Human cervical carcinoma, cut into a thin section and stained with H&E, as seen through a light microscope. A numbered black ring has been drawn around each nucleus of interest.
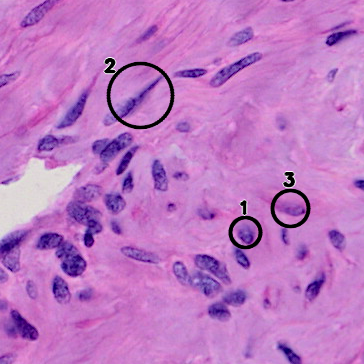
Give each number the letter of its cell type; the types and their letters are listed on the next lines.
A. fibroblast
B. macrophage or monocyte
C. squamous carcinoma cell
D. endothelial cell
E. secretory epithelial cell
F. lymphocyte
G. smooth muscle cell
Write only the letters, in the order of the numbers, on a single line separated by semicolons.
G; A; G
